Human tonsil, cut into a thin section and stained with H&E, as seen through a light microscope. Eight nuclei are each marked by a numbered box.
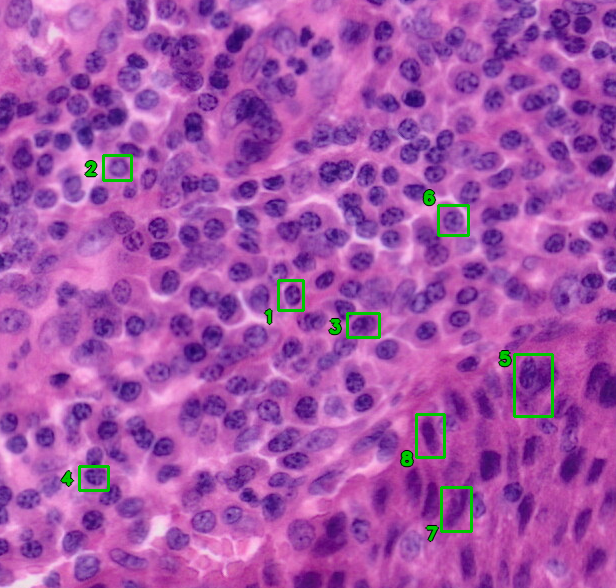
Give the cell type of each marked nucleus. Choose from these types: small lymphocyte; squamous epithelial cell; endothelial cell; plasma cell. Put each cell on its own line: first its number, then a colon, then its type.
1: plasma cell
2: plasma cell
3: plasma cell
4: plasma cell
5: squamous epithelial cell
6: plasma cell
7: squamous epithelial cell
8: squamous epithelial cell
